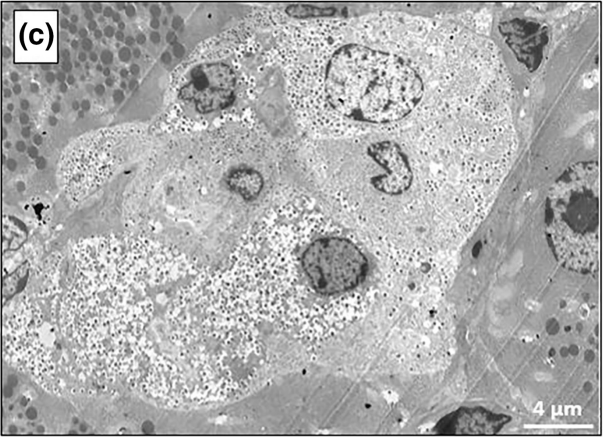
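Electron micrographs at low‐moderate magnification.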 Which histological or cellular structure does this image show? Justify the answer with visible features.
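Extra‐islet β‐cell clusters. A group of several cells with pale cytoplasm full of small dark dots forms the centre. At the upper left, surrounding cells hold large round grey granules.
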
